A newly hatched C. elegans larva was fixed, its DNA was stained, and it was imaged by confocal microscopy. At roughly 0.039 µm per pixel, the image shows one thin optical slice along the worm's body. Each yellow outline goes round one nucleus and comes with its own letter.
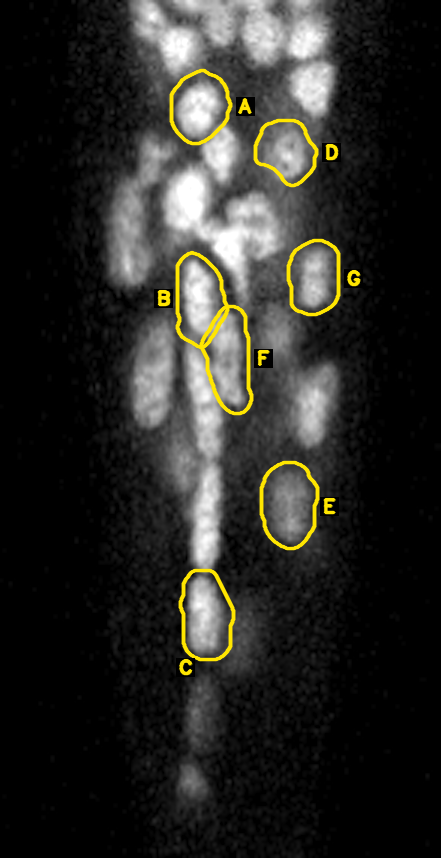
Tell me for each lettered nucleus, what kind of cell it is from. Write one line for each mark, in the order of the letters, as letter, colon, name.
A: neuron
B: neuron
C: pharyngeal muscle cell
D: pharyngeal muscle cell
E: body wall muscle cell
F: pharyngeal muscle cell
G: body wall muscle cell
